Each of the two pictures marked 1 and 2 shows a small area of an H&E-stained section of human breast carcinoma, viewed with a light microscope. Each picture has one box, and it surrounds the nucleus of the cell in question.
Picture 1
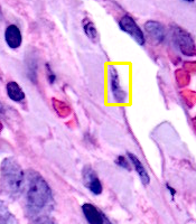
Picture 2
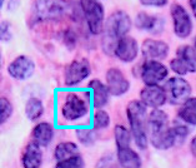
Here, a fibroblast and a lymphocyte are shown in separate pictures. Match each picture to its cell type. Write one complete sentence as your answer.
The cell in picture 1 is a fibroblast, and the one in picture 2 is a lymphocyte.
